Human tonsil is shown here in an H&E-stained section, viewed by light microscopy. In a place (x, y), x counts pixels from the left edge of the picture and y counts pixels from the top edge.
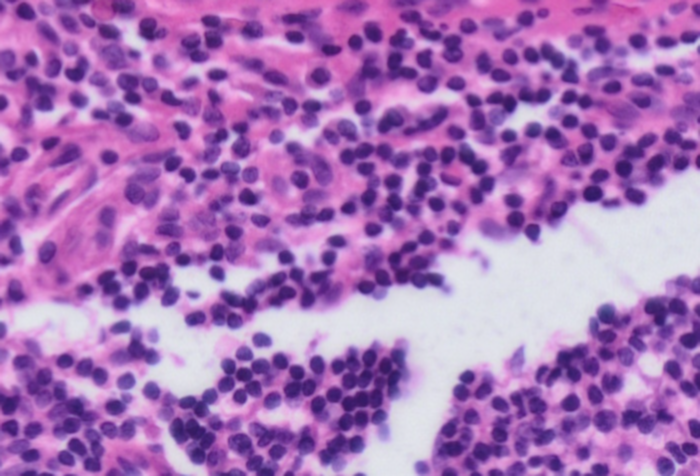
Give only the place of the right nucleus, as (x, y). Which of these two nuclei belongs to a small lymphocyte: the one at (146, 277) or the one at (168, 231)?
(146, 277)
